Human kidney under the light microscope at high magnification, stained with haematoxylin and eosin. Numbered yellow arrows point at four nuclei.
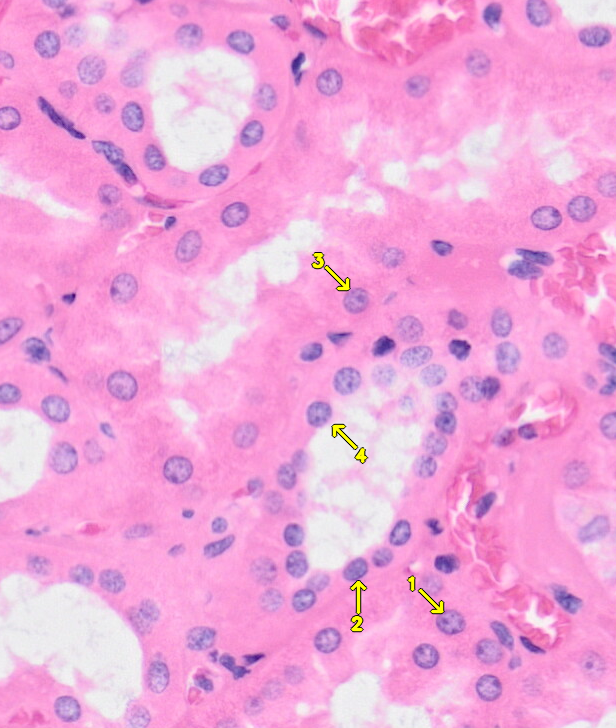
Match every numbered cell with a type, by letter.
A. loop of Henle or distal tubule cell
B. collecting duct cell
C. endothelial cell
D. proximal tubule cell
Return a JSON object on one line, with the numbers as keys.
{"1": "D", "2": "A", "3": "D", "4": "A"}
